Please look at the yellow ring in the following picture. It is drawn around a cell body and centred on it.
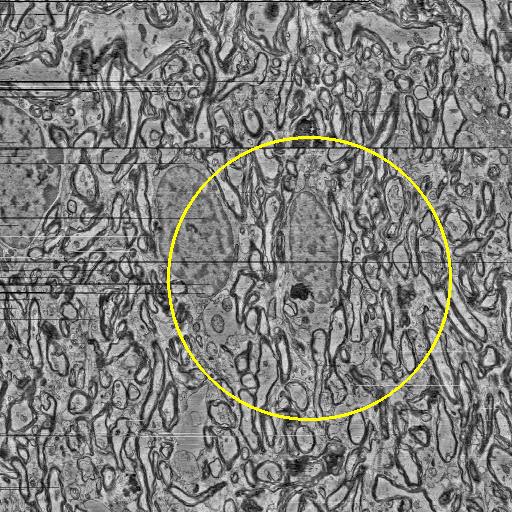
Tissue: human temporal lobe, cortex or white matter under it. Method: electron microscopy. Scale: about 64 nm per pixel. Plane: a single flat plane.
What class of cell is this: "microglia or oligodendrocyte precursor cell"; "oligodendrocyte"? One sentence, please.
The ring surrounds the cell body of an oligodendrocyte.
